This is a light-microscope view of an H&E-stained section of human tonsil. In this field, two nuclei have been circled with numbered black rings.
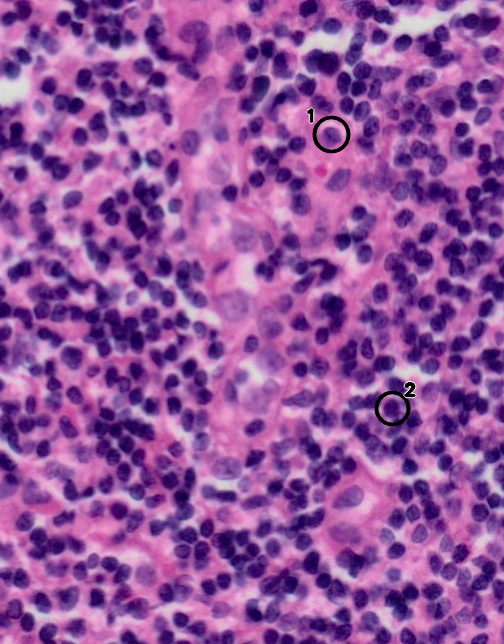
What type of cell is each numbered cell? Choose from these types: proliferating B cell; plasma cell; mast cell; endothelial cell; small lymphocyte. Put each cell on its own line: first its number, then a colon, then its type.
1: endothelial cell
2: small lymphocyte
